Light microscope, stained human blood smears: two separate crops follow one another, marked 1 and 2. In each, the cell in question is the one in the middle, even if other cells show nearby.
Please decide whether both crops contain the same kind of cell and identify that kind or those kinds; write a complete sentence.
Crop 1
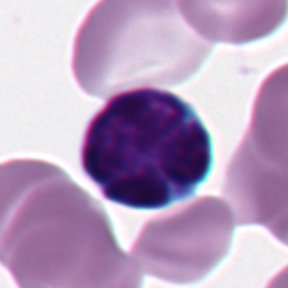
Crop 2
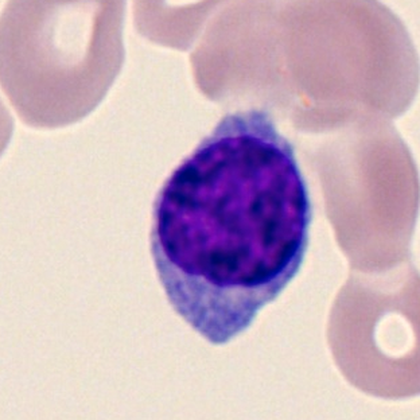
Yes, both crops in the pair show lymphocytes.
